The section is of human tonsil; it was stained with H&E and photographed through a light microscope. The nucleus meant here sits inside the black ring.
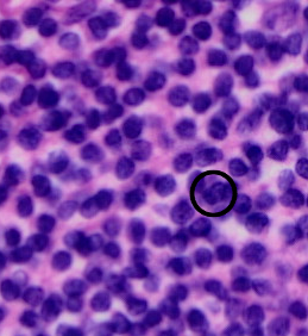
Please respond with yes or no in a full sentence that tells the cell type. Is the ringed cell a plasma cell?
No, mate, the ringed cell is a small lymphocyte rather than a plasma cell.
